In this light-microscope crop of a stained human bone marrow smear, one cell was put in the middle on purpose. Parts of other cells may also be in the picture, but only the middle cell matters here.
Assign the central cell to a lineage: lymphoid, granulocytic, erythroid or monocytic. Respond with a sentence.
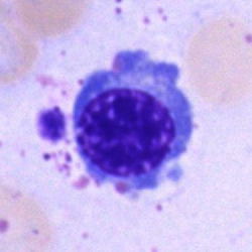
The lineage of the cell at the center of the crop is erythroid.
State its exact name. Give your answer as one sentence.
In the crop, the cell of interest at the centre is an erythroblast.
